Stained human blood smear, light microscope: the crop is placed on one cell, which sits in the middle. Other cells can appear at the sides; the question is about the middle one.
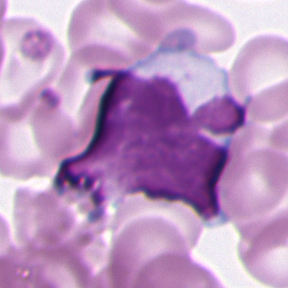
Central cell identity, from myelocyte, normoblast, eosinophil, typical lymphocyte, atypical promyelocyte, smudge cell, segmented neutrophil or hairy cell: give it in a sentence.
This particular crop is centered on a typical lymphocyte.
